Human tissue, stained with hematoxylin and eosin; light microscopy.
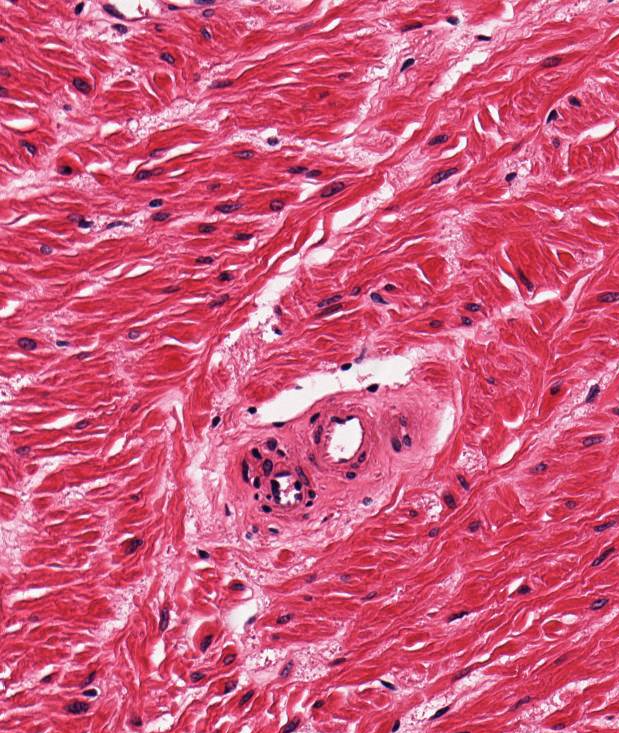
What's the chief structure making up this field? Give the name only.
fibromuscular stroma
